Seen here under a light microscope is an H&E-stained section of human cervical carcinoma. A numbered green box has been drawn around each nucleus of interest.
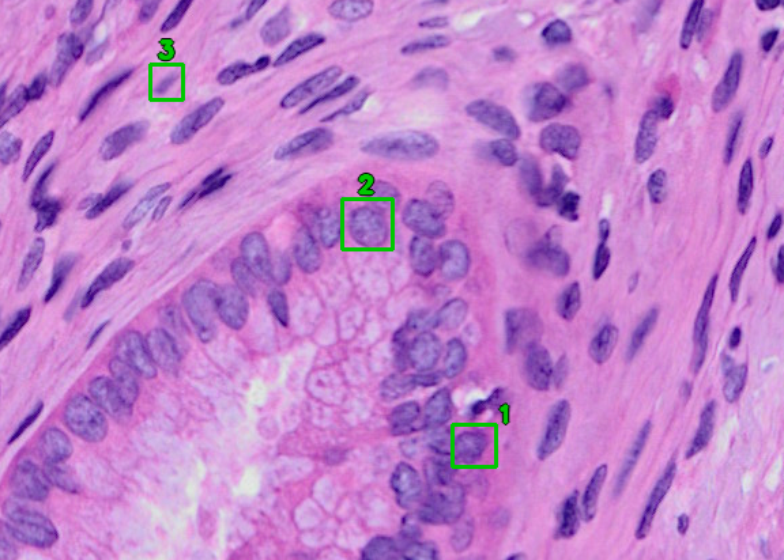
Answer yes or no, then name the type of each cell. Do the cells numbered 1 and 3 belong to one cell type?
No, cell 1 is a secretory epithelial cell and cell 3 is a fibroblast.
